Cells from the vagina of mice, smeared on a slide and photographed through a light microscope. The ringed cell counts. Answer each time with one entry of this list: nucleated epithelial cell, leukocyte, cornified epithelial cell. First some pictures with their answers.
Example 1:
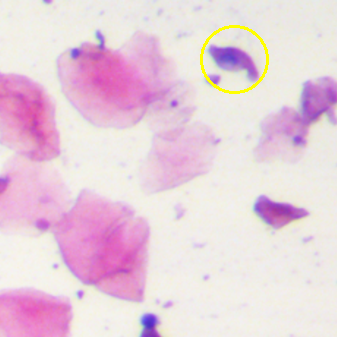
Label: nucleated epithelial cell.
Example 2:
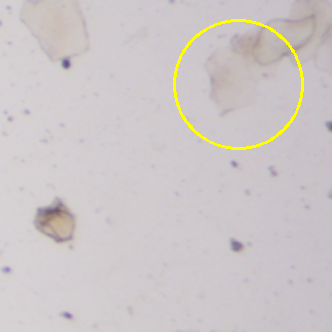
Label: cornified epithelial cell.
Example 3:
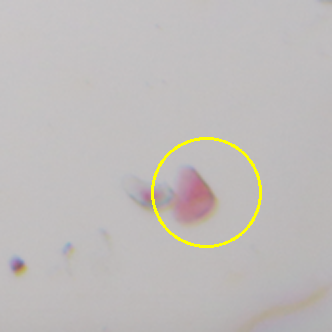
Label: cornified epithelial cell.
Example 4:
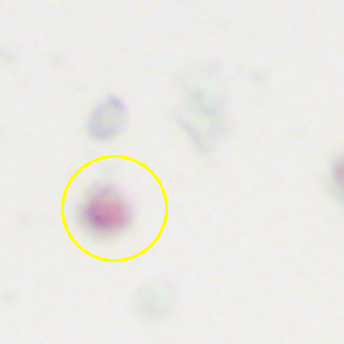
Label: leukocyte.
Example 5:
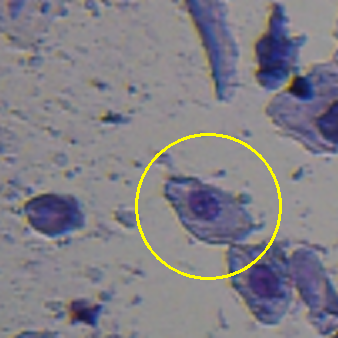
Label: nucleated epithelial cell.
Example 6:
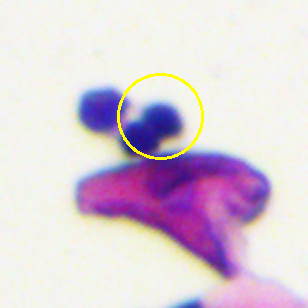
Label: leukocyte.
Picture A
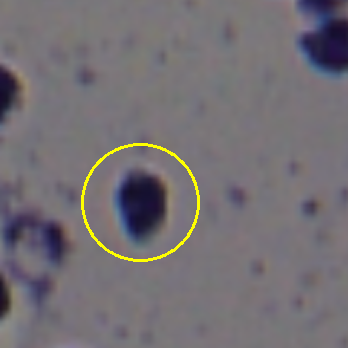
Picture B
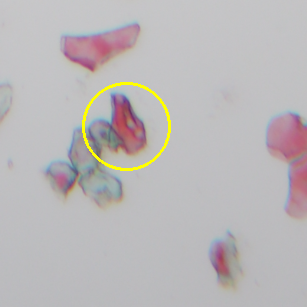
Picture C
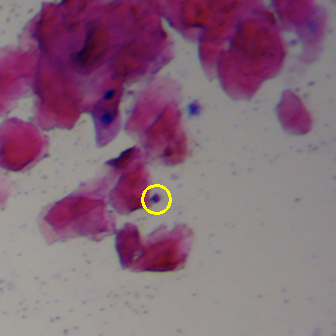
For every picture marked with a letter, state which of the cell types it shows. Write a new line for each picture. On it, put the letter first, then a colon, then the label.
A: leukocyte.
B: cornified epithelial cell.
C: leukocyte.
